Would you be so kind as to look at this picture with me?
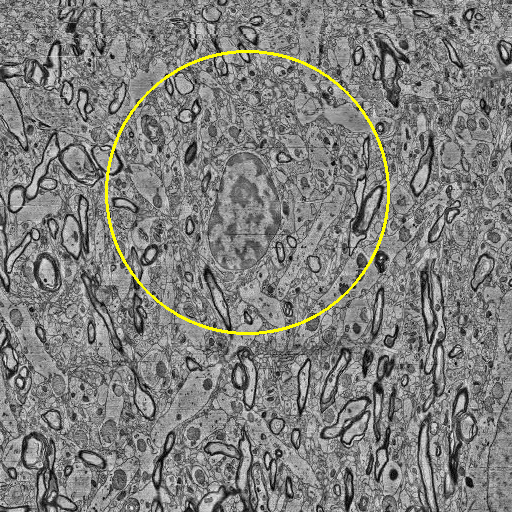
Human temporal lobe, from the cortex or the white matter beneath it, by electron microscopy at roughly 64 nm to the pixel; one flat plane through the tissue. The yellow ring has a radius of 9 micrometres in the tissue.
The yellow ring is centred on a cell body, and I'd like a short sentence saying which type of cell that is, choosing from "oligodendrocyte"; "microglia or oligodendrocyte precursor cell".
The cell body in the ring belongs to a microglial cell or oligodendrocyte precursor cell.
